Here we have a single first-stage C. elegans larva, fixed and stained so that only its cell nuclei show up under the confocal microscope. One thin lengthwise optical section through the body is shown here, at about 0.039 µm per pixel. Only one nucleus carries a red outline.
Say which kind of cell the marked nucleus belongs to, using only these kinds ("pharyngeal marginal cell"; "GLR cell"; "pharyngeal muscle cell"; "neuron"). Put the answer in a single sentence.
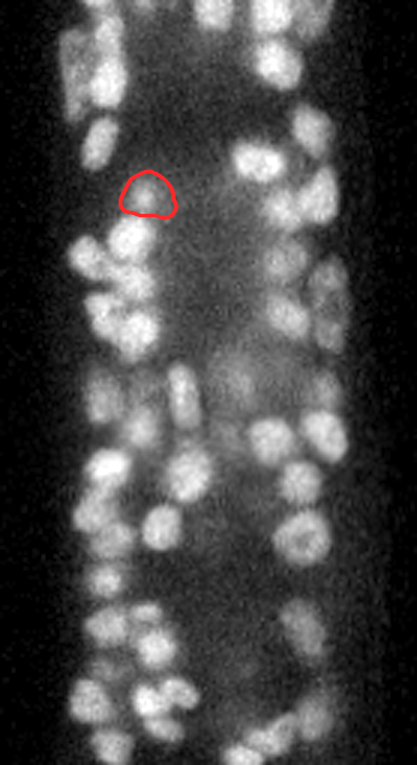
The marked cell is a GLR cell.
